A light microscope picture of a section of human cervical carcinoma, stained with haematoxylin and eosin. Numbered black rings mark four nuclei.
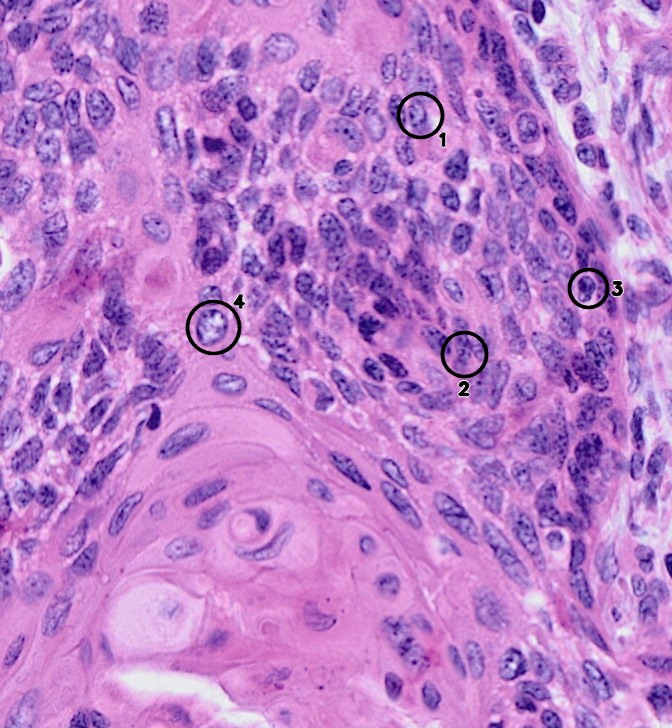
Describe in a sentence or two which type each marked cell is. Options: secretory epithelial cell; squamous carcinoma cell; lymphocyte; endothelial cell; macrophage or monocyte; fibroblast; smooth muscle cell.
Cells 1, 2 and 4 are squamous carcinoma cells. Cell 3 is a lymphocyte.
